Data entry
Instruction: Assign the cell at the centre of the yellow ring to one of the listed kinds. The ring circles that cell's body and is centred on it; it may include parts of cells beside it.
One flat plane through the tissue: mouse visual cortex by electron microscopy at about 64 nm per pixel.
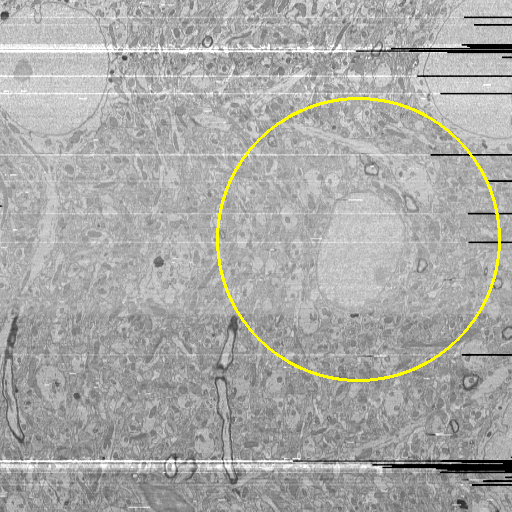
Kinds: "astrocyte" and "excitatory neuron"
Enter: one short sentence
The centre of the ring falls on an astrocyte.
